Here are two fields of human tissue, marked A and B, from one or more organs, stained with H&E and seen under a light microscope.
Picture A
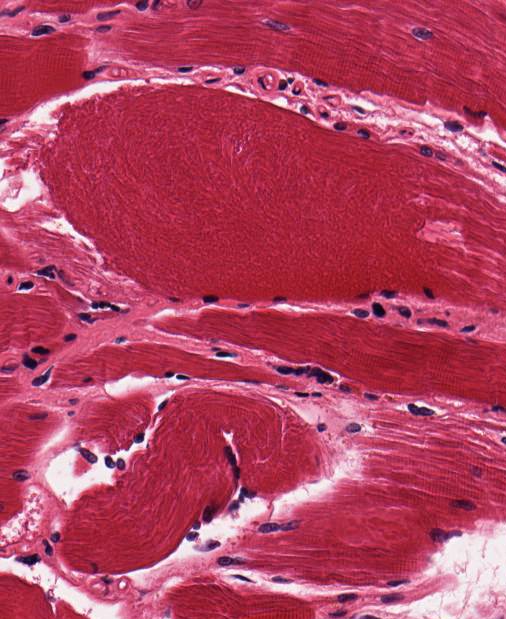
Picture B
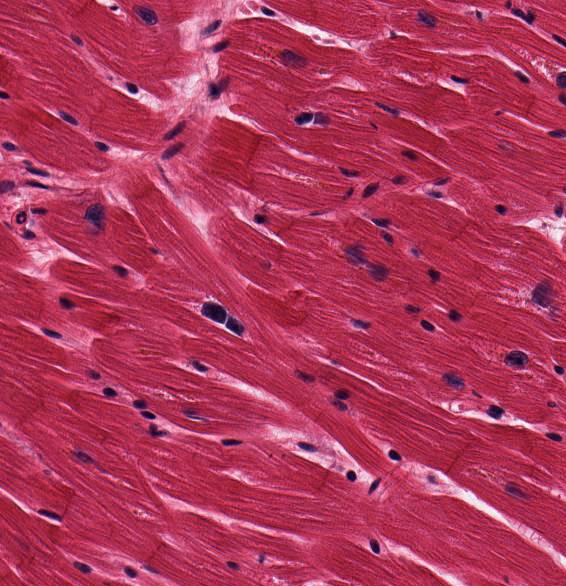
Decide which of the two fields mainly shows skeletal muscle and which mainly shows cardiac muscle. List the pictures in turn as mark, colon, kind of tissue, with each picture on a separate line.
A: skeletal muscle
B: cardiac muscle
